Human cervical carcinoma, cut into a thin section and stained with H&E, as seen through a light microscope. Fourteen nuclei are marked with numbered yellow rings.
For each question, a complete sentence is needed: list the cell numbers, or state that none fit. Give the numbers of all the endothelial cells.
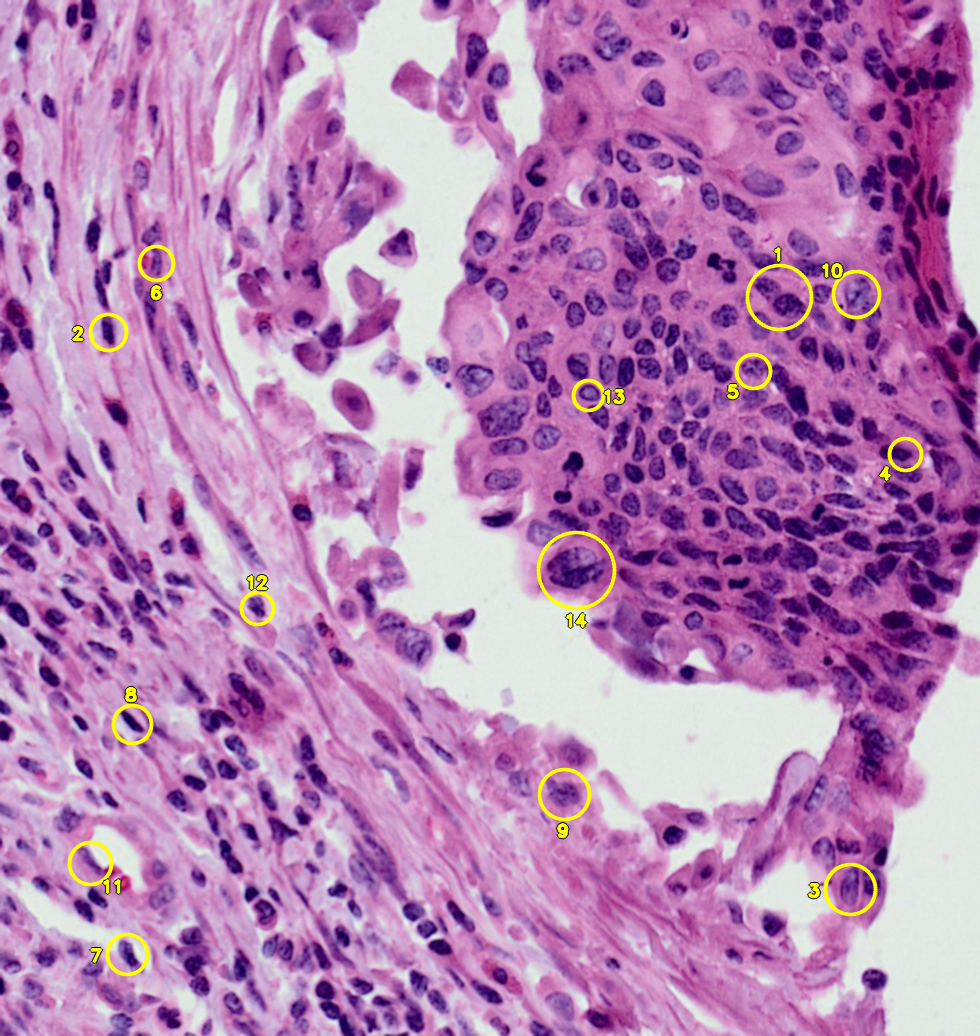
The cells referred to by numbers 6 and 11 are endothelial cells.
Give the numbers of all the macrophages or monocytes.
Only cell 9 is a macrophage or monocyte; none of the other numbered cells is.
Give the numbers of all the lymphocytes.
The cells identified by the numbers 2, 7, 8 and 12 are lymphocytes.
